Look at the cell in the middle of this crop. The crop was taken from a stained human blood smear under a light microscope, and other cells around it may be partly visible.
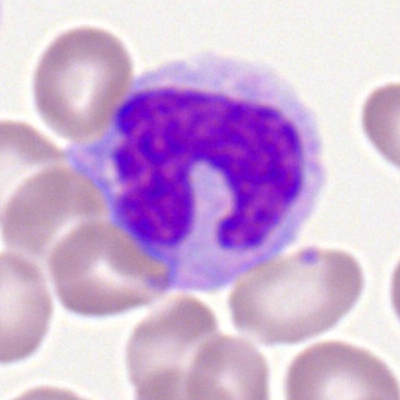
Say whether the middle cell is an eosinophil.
no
